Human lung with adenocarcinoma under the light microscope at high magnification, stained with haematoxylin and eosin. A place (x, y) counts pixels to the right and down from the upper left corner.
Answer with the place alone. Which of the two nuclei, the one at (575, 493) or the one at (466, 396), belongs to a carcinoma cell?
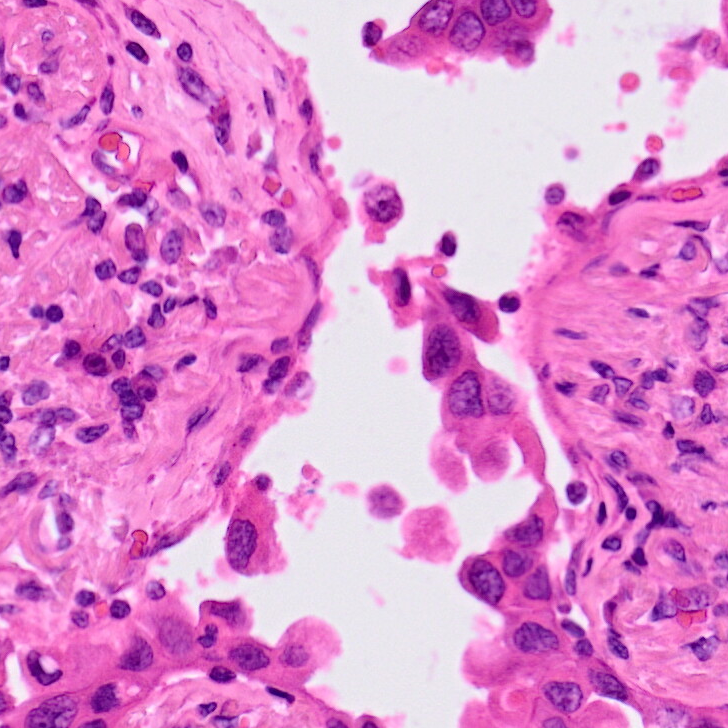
(466, 396)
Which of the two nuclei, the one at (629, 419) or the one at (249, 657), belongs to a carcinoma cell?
(249, 657)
